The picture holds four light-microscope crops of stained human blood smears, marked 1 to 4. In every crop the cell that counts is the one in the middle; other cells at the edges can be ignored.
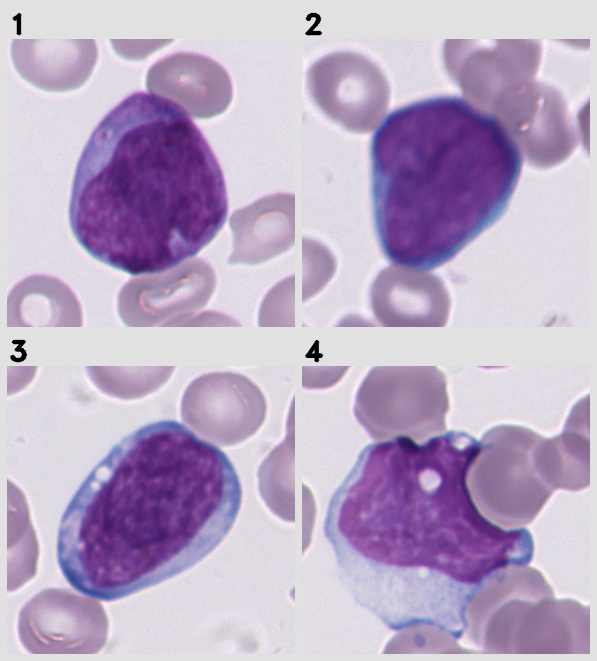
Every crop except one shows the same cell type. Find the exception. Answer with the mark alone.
1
